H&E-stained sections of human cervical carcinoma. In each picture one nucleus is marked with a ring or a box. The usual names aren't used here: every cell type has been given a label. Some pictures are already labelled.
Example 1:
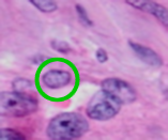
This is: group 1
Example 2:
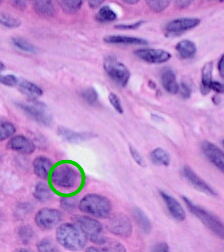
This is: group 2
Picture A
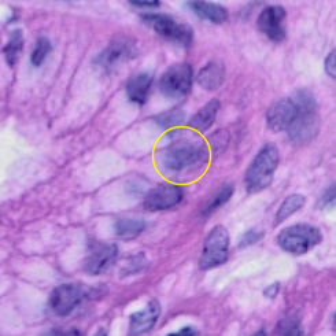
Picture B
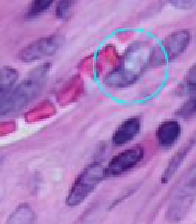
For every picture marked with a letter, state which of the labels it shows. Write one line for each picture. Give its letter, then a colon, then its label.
A: group 2
B: group 1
